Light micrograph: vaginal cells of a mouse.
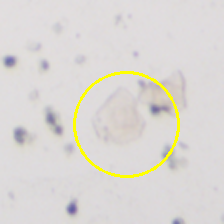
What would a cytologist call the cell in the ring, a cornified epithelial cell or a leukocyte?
A cytologist would call it a cornified epithelial cell.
